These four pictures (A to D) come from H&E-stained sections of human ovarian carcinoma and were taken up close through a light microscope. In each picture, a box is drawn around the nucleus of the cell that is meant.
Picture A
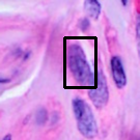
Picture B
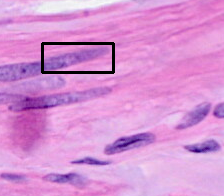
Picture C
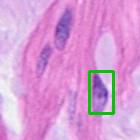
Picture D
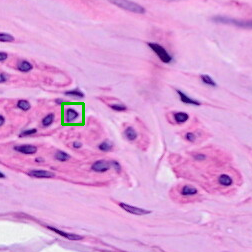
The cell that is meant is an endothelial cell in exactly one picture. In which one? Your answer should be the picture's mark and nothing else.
A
